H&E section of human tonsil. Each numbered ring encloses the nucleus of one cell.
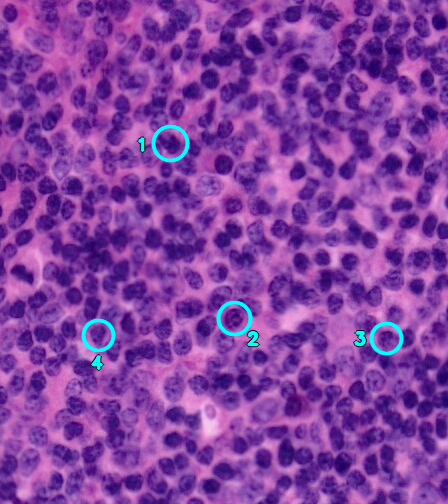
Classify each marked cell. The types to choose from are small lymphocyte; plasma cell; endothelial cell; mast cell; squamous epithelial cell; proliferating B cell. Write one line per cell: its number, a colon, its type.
1: small lymphocyte
2: plasma cell
3: small lymphocyte
4: small lymphocyte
